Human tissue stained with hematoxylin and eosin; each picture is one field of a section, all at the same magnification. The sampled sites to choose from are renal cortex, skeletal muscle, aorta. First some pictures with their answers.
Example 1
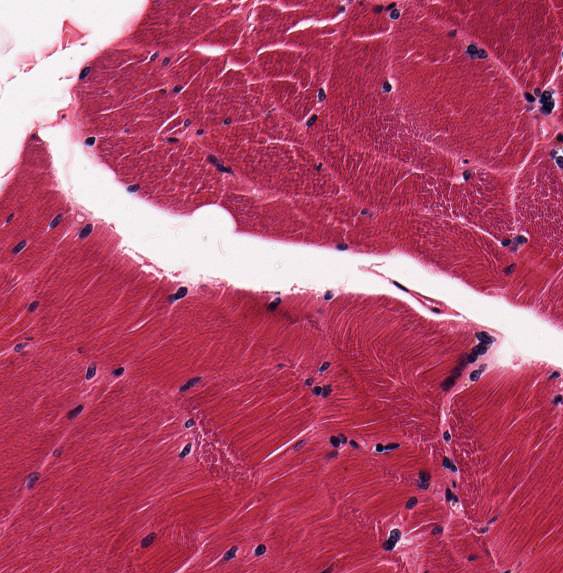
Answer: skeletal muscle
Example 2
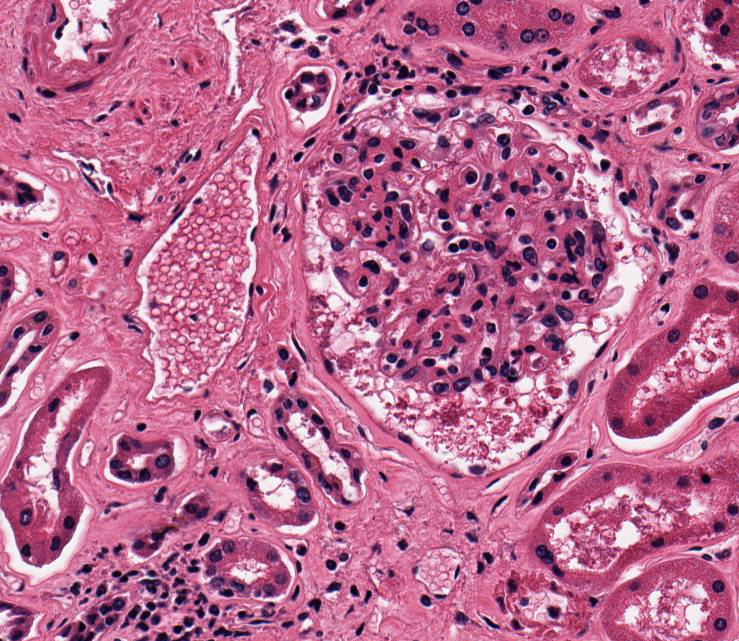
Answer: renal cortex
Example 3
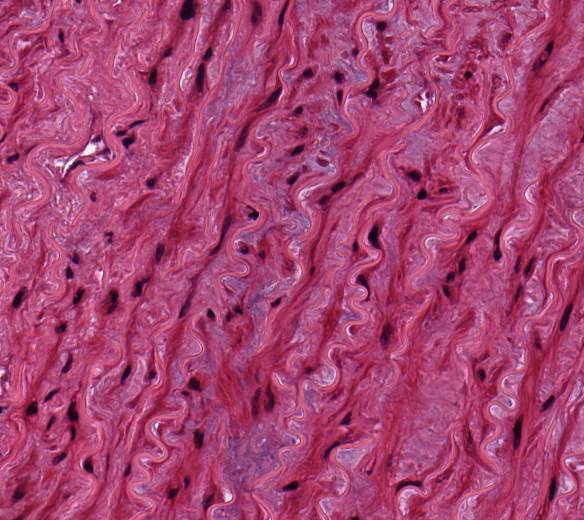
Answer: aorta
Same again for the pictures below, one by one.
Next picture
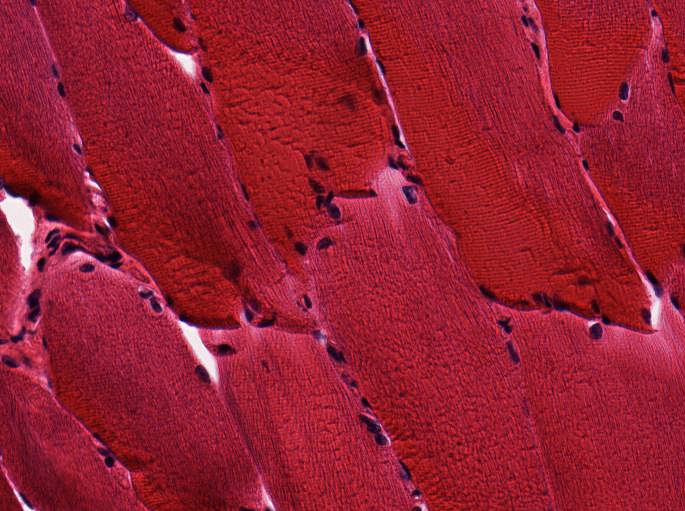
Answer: skeletal muscle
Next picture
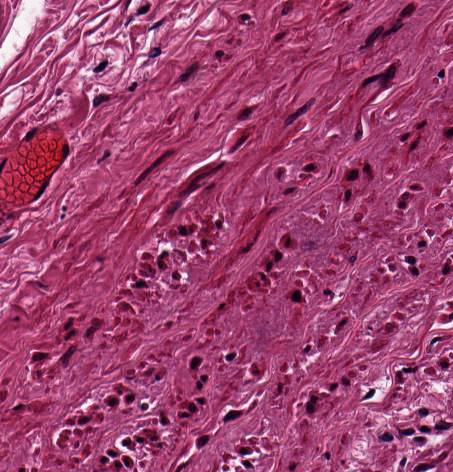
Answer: aorta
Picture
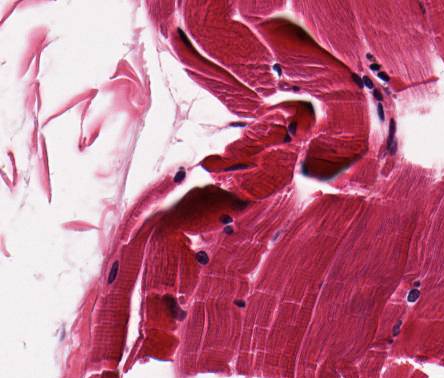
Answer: skeletal muscle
